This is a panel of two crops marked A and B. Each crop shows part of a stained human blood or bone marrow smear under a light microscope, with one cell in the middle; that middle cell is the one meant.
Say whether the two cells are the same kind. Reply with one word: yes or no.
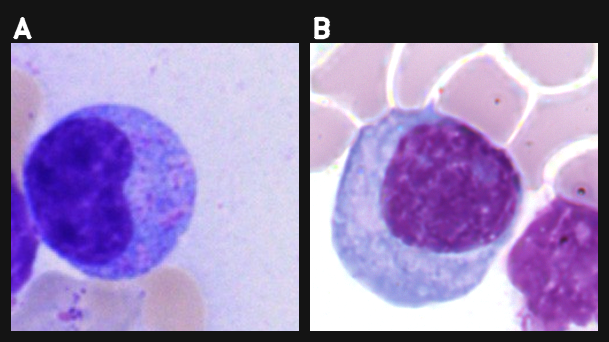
no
